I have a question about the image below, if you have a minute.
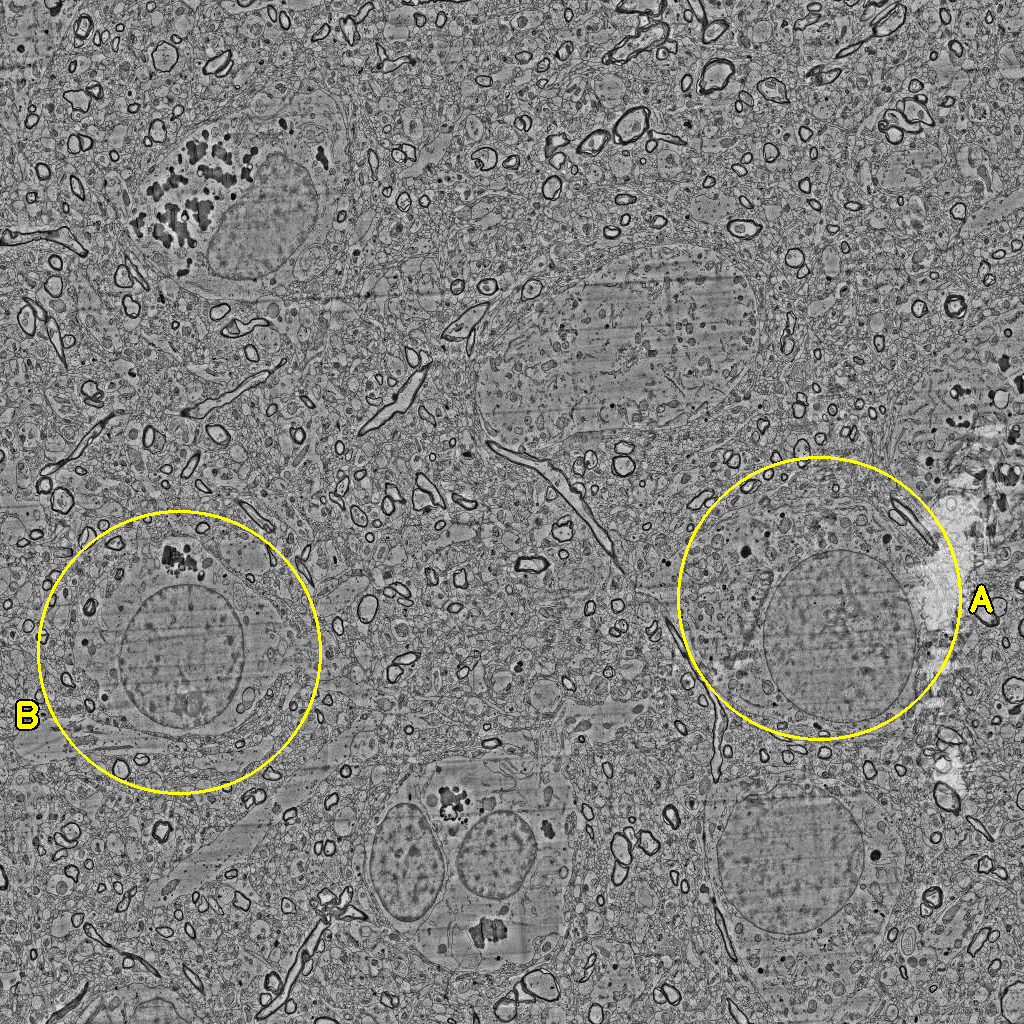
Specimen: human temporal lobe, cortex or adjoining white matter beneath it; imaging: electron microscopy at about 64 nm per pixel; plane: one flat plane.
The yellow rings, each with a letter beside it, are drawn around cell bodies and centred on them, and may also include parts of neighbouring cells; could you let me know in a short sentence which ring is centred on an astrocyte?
Ring B is centred on it.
